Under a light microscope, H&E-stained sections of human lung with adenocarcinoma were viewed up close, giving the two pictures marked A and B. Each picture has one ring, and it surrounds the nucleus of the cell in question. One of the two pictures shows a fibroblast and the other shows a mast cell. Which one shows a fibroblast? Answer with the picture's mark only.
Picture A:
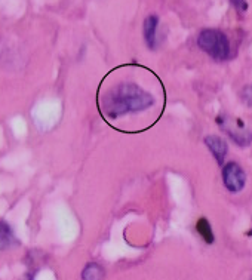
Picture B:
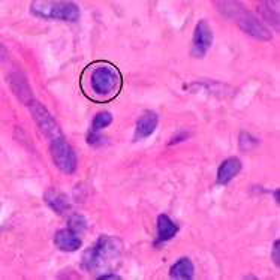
A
